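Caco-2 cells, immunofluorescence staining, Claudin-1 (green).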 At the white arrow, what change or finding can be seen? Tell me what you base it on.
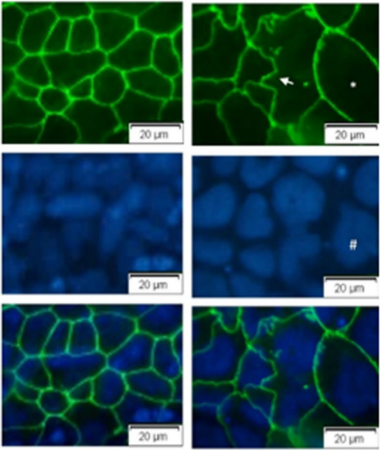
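The green junction line near the arrow is wavy and irregular.
Answer: Undulating and punctate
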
